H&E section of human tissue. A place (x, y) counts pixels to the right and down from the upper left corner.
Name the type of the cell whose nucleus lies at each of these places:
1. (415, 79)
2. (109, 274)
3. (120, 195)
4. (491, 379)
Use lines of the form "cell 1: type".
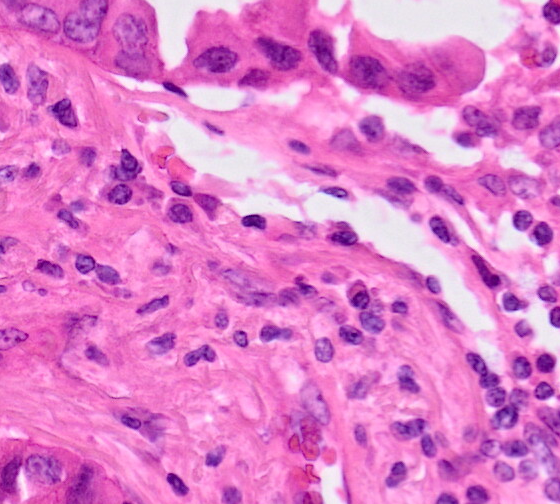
cell 1: carcinoma cell
cell 2: lymphocyte
cell 3: plasma cell
cell 4: lymphocyte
